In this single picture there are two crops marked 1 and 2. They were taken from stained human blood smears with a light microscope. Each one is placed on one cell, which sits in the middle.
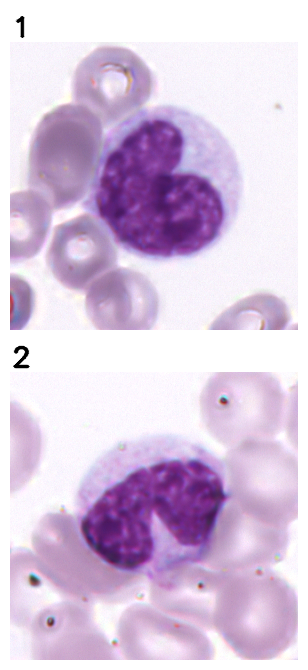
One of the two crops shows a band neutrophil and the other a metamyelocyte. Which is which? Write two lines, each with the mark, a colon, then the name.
1: metamyelocyte
2: band neutrophil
